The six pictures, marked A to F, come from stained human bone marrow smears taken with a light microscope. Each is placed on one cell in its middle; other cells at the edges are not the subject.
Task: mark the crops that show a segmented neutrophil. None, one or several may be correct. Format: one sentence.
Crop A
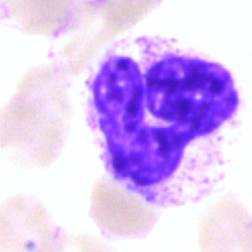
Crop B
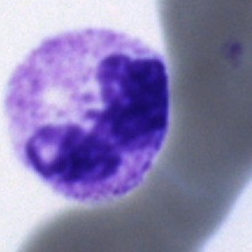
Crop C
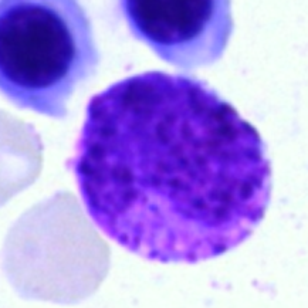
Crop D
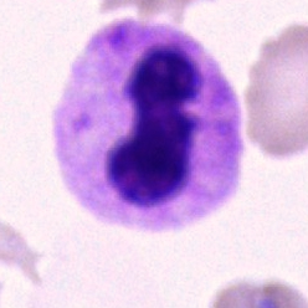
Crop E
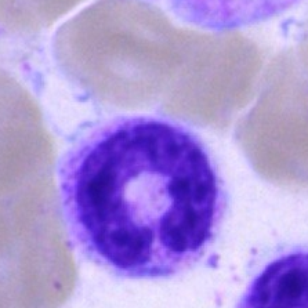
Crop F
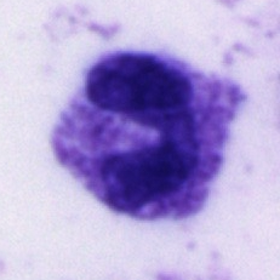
In crops A, B and D, the centrally located cells represent segmented neutrophils.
